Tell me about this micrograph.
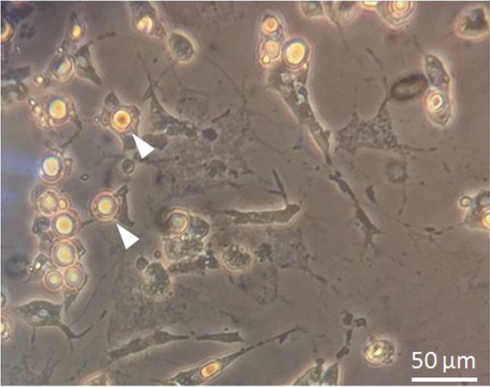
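Phase-contrast view of cultured white adipocytes scattered among flat, spread cells. The adipocytes are small rounded cells, many grouped at the left, each containing one large, bright, refractile lipid droplet that fills most of the cell, with a thin dark rim around it. Between them lie flattened grey cells with irregular, spindle-shaped or branching outlines and long thin processes, with finely granular cytoplasm and no large droplets. The background is sparse, with open spaces between the cells.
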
